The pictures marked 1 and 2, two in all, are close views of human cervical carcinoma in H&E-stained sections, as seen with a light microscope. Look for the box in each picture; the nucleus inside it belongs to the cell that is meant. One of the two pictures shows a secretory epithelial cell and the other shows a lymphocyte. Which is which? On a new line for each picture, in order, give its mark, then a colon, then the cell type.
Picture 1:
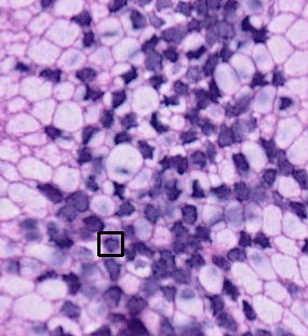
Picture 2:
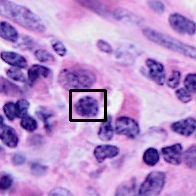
1: secretory epithelial cell
2: lymphocyte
